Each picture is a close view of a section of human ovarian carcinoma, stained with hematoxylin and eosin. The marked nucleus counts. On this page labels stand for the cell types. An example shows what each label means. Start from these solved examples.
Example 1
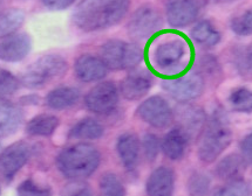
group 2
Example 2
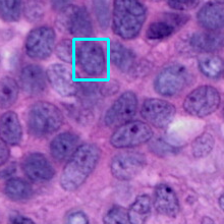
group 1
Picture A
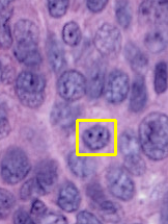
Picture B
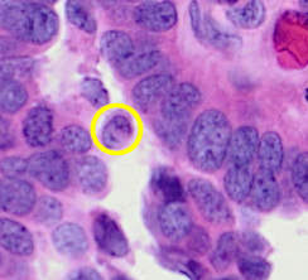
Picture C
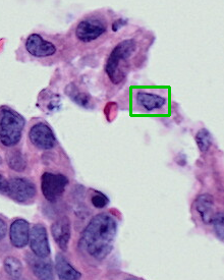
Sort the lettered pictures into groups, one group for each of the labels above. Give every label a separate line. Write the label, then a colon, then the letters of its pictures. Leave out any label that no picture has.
group 2: A, B, C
